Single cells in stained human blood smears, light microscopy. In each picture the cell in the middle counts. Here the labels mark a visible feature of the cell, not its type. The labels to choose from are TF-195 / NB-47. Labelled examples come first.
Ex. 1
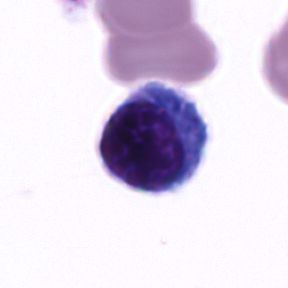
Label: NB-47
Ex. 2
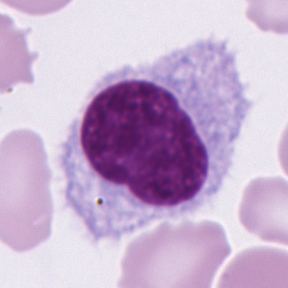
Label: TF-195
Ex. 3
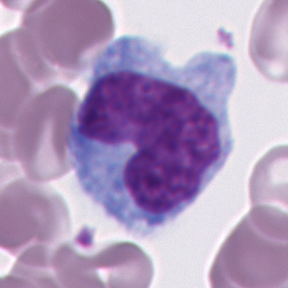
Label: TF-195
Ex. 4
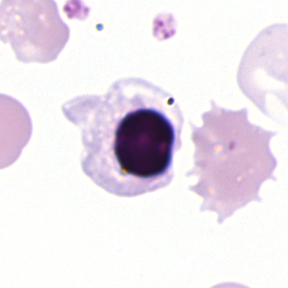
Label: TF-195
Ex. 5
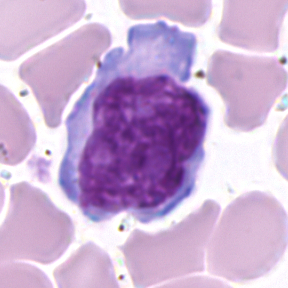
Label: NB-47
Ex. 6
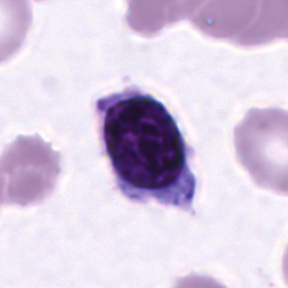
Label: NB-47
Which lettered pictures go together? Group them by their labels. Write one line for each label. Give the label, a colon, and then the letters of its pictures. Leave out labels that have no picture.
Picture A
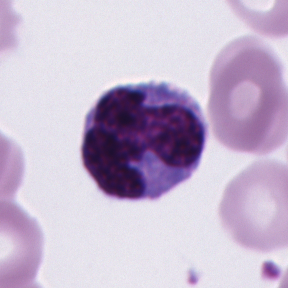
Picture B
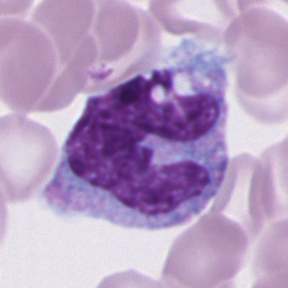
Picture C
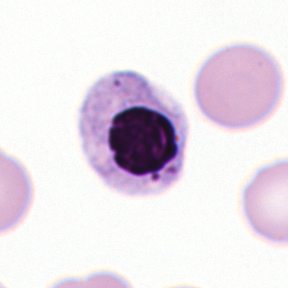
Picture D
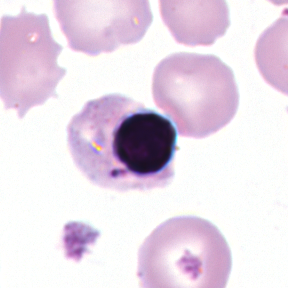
TF-195: B, C, D
NB-47: A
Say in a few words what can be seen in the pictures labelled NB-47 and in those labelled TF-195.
NB-47: scant cytoplasm; TF-195: abundant cytoplasm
